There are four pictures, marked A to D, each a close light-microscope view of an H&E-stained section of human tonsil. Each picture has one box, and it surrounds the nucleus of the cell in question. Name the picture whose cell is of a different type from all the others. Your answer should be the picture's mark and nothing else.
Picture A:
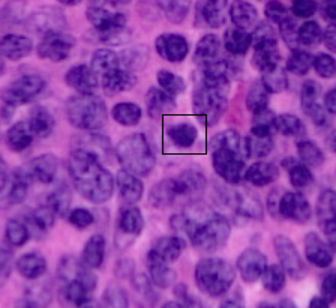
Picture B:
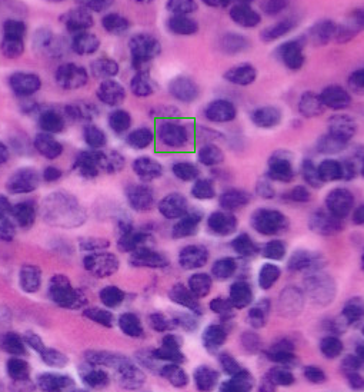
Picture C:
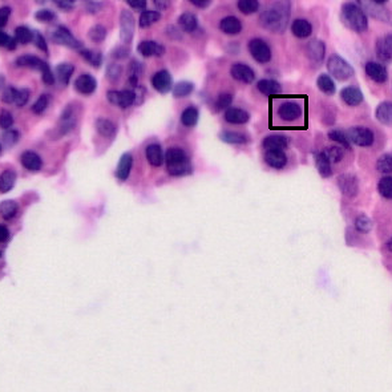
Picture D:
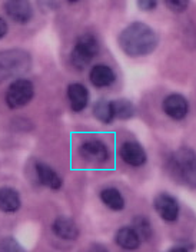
A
